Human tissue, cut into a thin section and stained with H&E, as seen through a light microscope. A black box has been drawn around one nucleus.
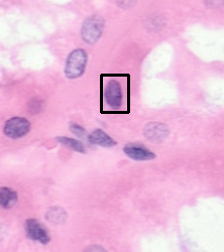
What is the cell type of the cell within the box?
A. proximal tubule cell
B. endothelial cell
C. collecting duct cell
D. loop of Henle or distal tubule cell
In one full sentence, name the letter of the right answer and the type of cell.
Right answer, option A: the cell within the box is a proximal tubule cell.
